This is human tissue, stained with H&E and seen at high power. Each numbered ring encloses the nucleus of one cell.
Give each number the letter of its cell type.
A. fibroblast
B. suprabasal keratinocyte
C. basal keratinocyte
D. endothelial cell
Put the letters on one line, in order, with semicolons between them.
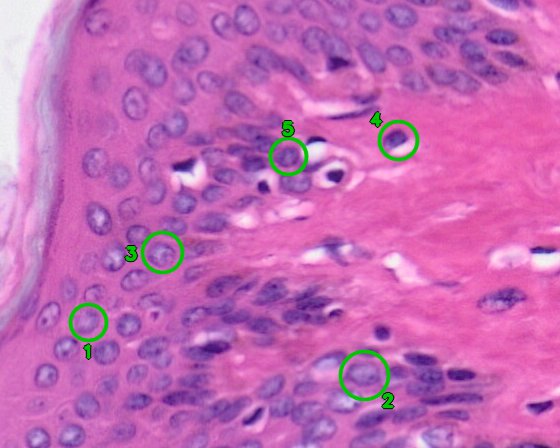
B; C; B; A; C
